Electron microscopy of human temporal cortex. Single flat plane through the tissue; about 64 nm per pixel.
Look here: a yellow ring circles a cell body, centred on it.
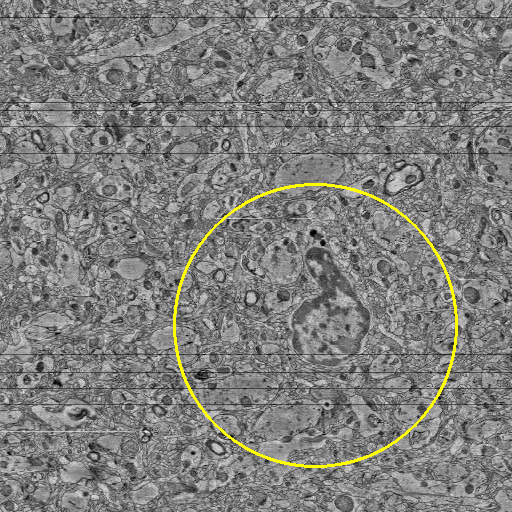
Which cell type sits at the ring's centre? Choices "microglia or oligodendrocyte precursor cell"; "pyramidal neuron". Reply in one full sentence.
The cell at the centre of the yellow ring in the picture is a microglial cell or oligodendrocyte precursor cell.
